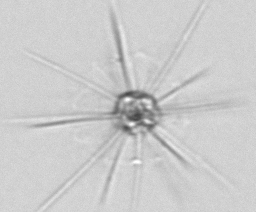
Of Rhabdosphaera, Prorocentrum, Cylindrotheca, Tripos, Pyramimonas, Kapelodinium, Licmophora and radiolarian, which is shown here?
radiolarian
